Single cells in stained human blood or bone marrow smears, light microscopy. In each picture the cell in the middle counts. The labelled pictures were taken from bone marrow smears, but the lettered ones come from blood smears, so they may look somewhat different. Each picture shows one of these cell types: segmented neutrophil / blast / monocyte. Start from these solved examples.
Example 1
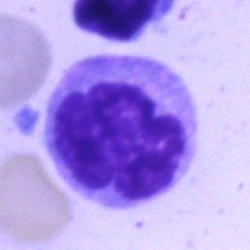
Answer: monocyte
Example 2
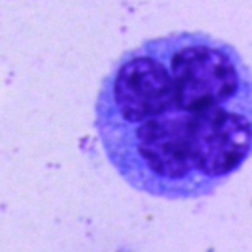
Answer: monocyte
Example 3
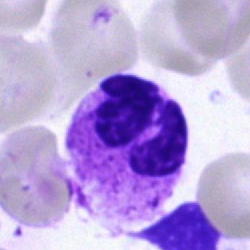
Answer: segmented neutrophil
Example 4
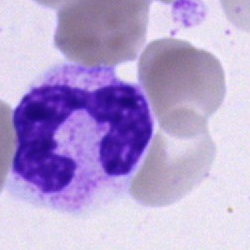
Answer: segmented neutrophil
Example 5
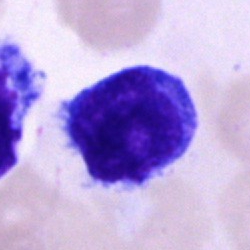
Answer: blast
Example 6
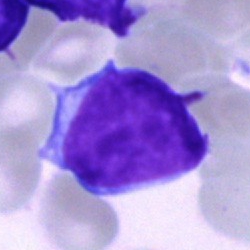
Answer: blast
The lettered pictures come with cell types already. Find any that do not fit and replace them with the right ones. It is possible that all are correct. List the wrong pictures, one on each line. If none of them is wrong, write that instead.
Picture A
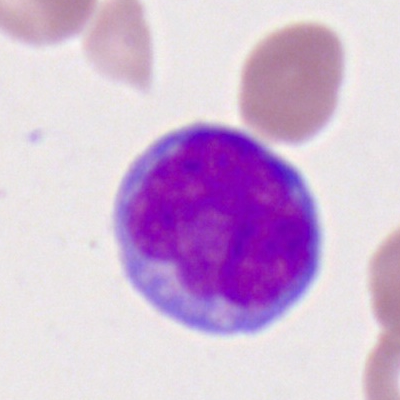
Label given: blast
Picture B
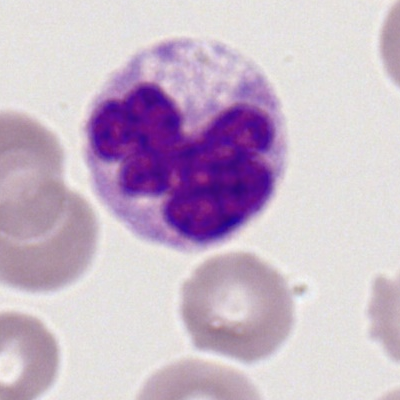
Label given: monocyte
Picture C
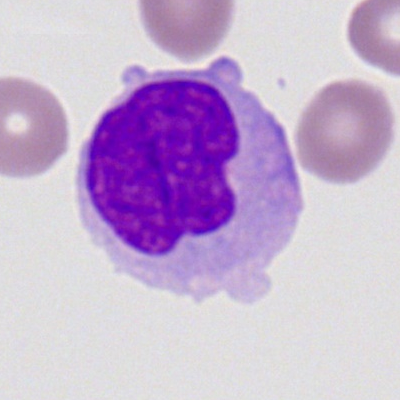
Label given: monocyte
Every label is right.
